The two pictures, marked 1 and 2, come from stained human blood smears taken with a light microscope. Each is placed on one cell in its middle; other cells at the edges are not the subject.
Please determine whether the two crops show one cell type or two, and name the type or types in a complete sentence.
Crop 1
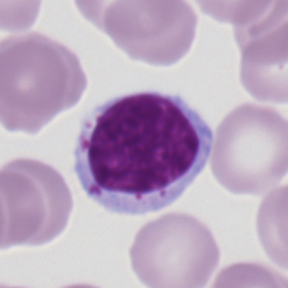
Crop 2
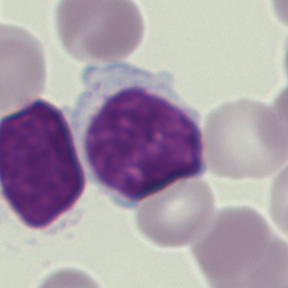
Yes, the central cells in both crops are large granular lymphocytes.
